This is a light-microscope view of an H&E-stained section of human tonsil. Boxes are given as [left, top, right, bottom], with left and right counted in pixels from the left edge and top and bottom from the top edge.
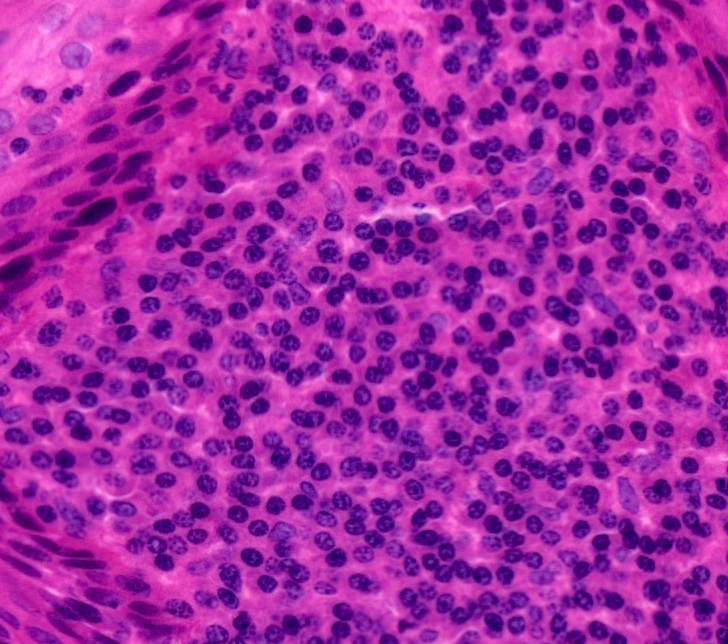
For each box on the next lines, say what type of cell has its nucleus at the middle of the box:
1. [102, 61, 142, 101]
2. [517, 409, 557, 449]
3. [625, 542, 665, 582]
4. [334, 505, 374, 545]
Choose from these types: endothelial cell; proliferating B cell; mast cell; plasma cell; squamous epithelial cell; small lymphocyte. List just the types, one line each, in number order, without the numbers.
squamous epithelial cell
plasma cell
plasma cell
plasma cell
